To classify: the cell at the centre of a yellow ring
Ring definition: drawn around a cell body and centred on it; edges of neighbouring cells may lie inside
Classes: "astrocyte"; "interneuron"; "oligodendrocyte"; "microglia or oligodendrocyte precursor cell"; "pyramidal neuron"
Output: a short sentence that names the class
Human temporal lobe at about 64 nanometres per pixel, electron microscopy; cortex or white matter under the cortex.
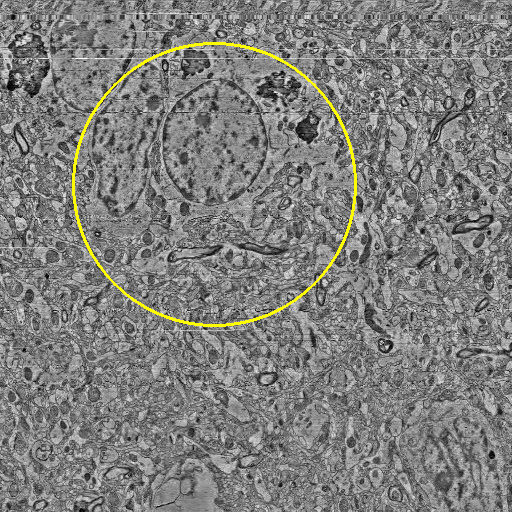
The ringed cell is an astrocyte.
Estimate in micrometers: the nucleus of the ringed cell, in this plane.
In this plane, approximately 8 by 7 micrometers.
